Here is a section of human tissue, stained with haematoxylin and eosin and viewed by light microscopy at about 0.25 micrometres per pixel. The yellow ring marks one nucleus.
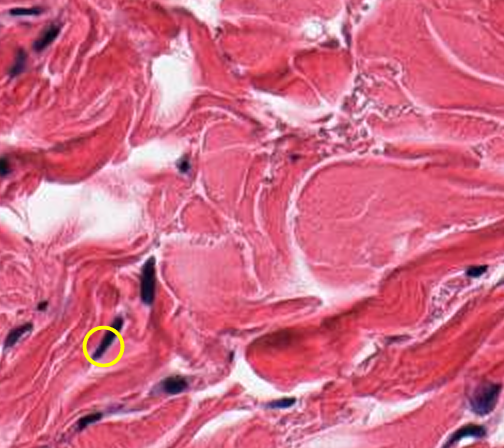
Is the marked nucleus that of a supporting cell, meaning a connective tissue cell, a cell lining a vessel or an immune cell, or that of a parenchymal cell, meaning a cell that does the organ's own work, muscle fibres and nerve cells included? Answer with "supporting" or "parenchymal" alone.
supporting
